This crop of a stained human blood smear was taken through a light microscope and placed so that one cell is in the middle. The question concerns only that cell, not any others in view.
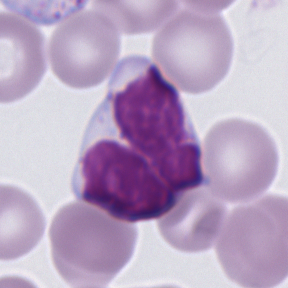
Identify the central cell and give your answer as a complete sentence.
The cell nearest the centre of this crop is a large granular lymphocyte.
